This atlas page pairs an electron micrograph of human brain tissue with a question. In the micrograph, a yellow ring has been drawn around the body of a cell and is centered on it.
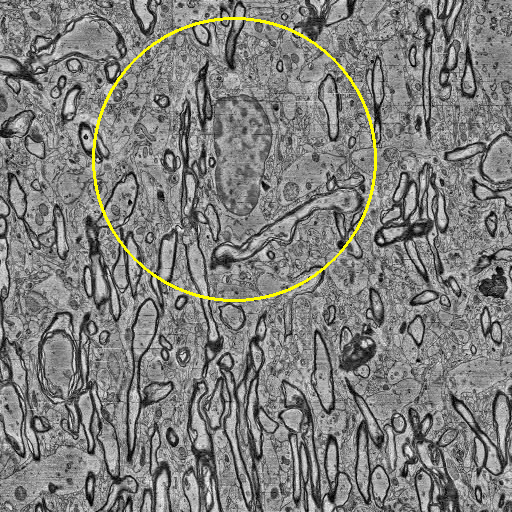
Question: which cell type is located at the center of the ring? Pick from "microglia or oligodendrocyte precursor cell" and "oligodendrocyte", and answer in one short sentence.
Located at the center of the ring is a microglial cell or oligodendrocyte precursor cell.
